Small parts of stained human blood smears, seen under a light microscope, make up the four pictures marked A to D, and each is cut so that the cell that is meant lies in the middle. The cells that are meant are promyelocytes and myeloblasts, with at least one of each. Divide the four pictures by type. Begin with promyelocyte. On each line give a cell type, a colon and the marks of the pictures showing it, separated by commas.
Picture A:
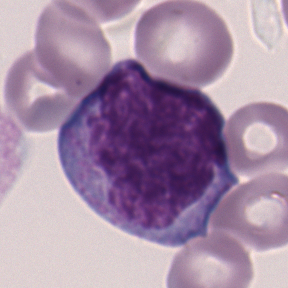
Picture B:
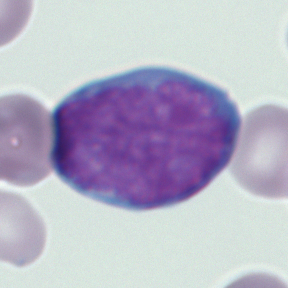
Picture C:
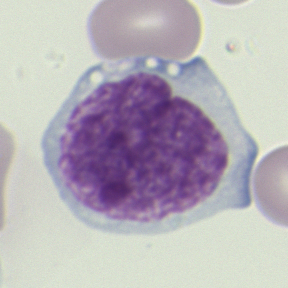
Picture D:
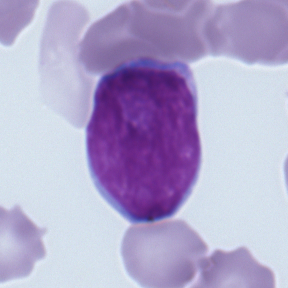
promyelocyte: A
myeloblast: B, C, D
